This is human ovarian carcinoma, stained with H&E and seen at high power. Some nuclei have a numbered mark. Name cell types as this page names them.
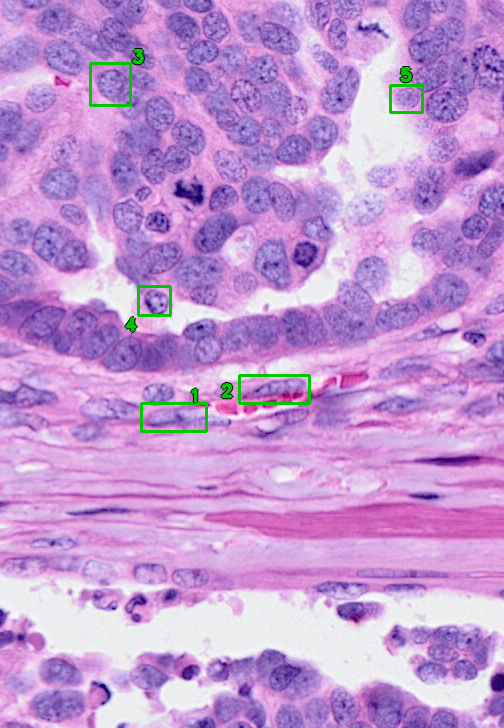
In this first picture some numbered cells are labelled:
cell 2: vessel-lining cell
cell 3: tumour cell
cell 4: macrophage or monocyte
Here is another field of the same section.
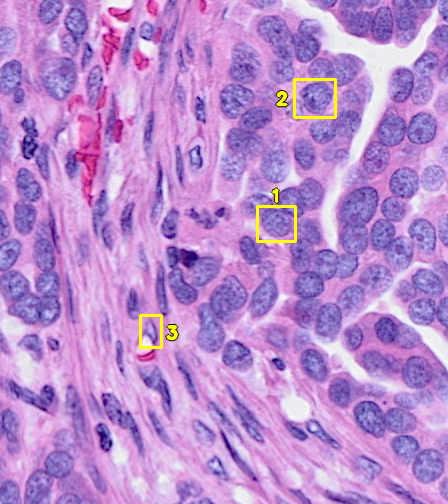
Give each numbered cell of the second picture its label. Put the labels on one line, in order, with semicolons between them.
tumour cell; tumour cell; vessel-lining cell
